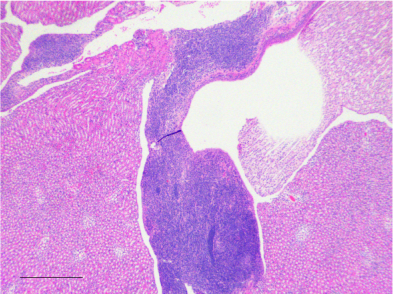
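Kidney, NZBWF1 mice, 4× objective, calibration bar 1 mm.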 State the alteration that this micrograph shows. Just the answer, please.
Inflammatory infiltrates.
